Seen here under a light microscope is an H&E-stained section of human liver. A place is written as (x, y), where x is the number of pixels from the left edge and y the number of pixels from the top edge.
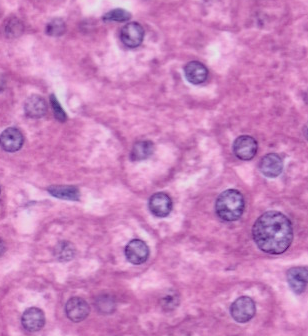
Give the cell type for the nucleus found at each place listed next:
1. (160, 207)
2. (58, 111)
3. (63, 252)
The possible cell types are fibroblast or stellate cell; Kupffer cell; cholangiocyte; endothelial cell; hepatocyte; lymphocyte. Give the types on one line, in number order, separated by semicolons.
hepatocyte; fibroblast or stellate cell; hepatocyte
